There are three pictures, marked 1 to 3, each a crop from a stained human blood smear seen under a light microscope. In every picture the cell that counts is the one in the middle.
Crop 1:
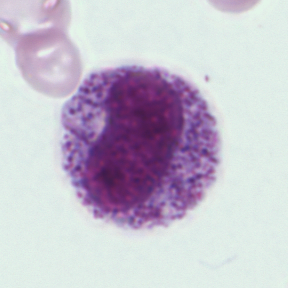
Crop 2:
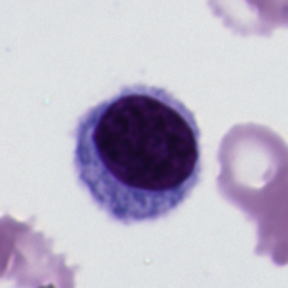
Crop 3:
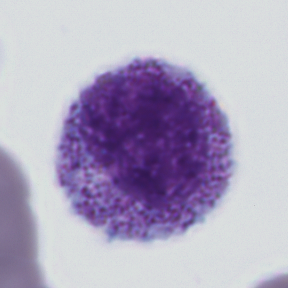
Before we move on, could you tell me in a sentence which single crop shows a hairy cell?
Crop 2 is where a hairy cell is to be found.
